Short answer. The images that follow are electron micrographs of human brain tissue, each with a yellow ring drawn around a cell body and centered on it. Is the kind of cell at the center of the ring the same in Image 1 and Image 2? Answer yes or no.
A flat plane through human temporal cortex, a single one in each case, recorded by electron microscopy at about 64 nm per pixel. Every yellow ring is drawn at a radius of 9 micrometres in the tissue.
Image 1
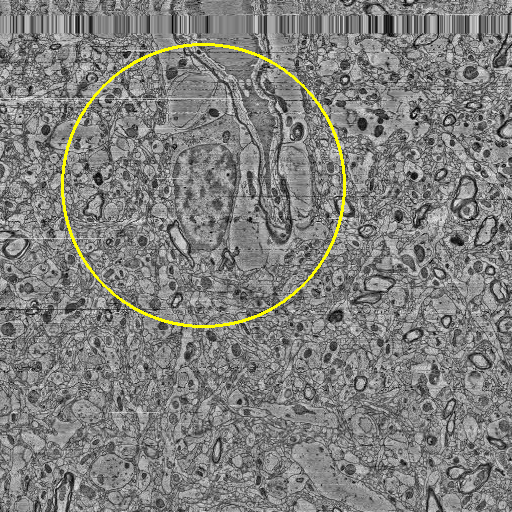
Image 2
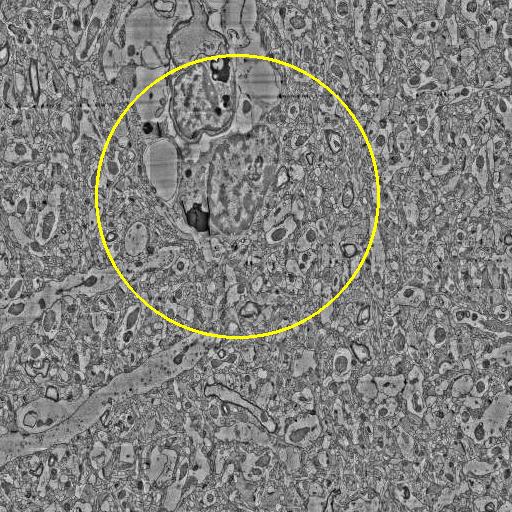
yes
